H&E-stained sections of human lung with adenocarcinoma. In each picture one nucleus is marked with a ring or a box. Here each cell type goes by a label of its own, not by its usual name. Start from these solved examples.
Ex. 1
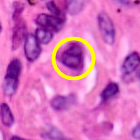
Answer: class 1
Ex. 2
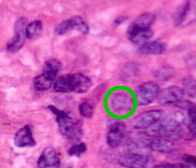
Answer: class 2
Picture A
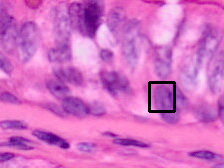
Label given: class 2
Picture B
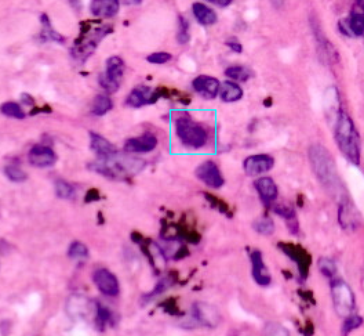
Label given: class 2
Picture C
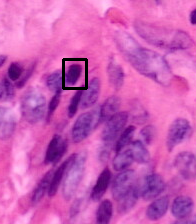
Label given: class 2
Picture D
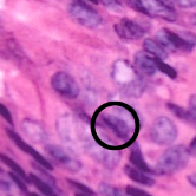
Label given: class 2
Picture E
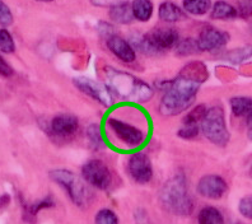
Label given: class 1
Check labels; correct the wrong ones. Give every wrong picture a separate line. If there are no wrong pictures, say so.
Wrong: B (class 2); correct: class 1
